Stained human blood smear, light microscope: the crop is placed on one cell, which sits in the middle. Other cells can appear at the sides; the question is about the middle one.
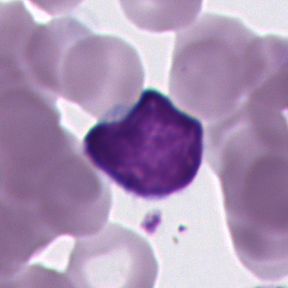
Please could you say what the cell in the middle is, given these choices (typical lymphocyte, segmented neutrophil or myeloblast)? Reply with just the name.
typical lymphocyte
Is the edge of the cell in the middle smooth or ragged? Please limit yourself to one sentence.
The cytoplasmic margin is uneven, whether through ragged segments or through projections.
